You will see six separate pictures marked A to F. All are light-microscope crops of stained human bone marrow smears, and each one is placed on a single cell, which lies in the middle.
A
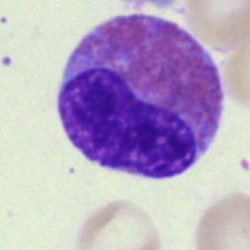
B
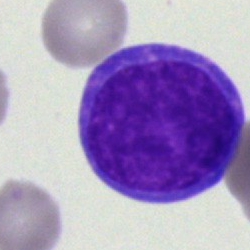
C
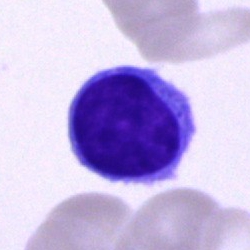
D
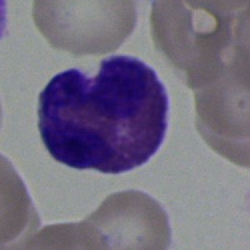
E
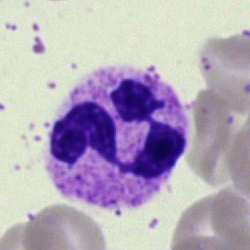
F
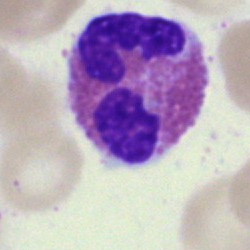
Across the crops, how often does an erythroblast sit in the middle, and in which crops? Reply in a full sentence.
So far as erythroblasts go, the crops show none, and the count is zero.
